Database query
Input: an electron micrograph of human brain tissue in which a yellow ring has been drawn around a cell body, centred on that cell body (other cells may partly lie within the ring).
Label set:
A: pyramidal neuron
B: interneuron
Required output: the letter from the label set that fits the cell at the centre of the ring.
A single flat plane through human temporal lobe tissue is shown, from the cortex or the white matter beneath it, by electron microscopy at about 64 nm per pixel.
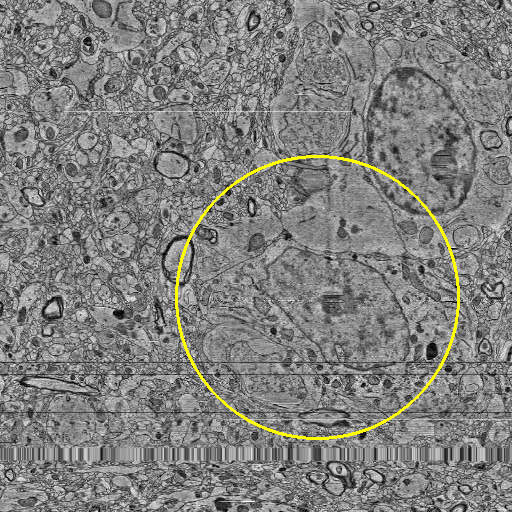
B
